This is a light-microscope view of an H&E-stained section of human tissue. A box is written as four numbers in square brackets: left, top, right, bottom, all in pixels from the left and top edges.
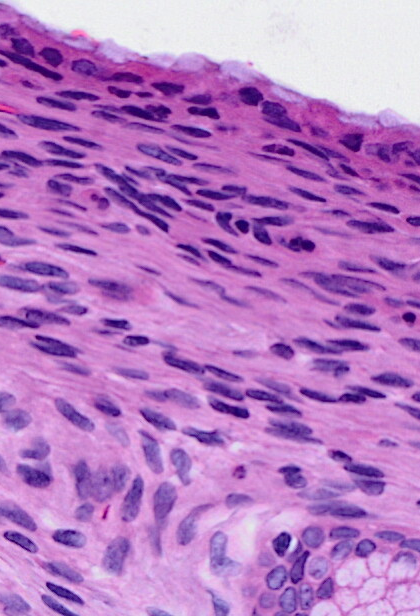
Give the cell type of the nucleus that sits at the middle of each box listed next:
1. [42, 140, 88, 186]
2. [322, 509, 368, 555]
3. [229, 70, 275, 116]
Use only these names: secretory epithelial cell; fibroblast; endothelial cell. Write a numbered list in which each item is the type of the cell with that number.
1. fibroblast
2. secretory epithelial cell
3. secretory epithelial cell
